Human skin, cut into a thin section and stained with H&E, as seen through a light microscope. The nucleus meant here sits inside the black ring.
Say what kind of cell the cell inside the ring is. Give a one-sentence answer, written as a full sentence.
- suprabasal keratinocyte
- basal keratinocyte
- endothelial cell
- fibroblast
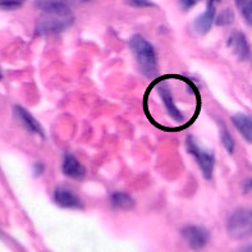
Histopathologically, the cell inside the ring is an endothelial cell.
